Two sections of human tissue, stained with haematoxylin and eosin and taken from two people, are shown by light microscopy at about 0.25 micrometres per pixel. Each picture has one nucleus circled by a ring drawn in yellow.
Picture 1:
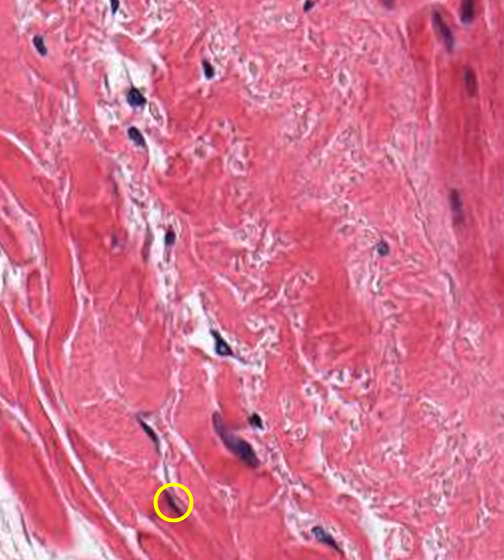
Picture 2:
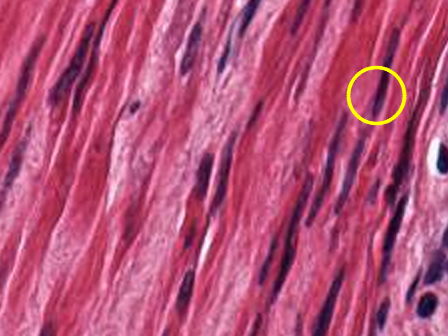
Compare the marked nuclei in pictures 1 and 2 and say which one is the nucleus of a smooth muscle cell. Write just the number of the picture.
2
